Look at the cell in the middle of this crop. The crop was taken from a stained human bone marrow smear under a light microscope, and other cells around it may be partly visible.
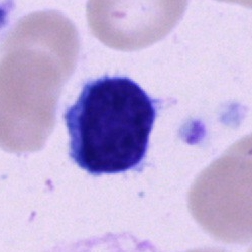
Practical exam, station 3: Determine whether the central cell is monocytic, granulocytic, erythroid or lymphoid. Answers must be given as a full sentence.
The cell in the middle is allocated to the lymphoid lineage.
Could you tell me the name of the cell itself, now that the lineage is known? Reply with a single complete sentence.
What sits at the centre of this crop is a lymphocyte.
